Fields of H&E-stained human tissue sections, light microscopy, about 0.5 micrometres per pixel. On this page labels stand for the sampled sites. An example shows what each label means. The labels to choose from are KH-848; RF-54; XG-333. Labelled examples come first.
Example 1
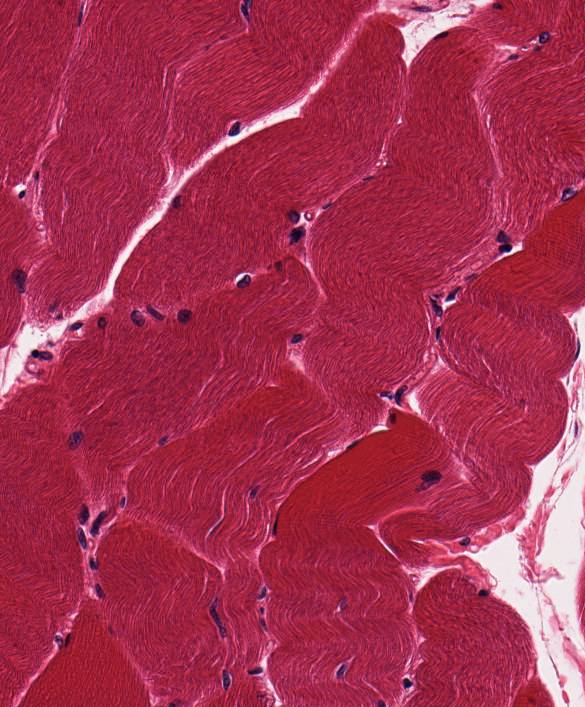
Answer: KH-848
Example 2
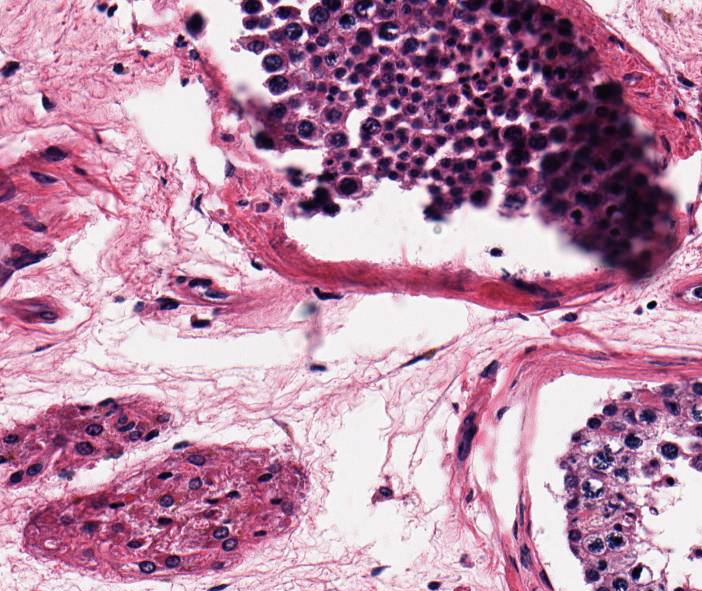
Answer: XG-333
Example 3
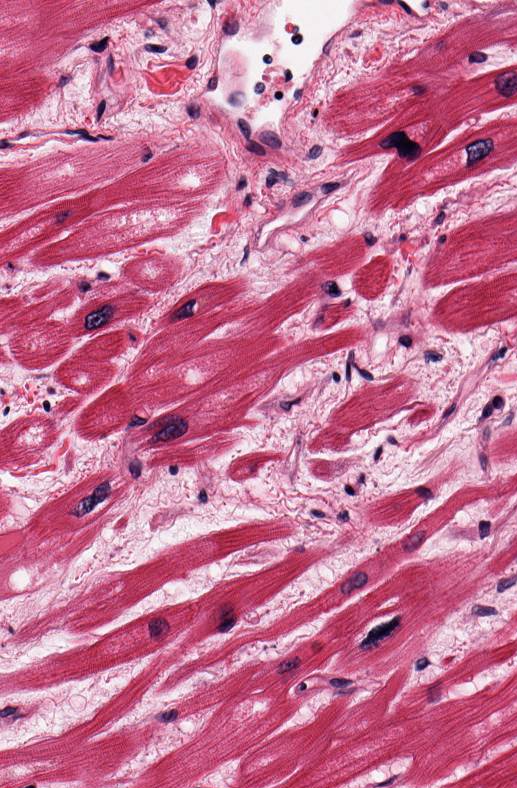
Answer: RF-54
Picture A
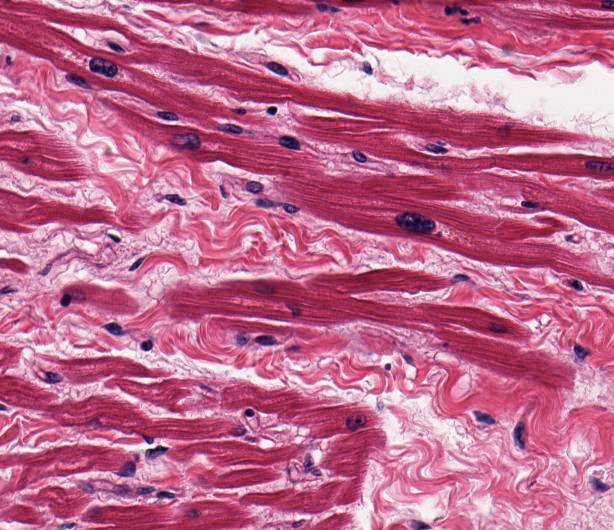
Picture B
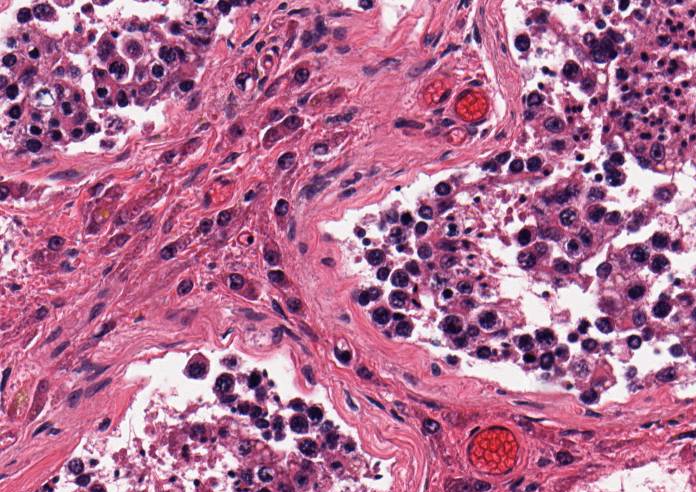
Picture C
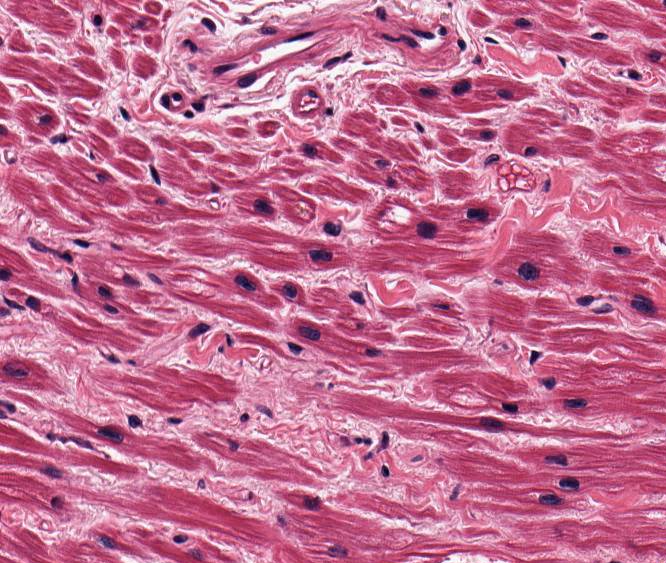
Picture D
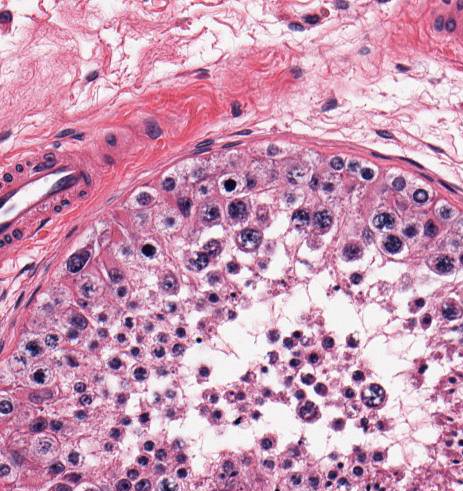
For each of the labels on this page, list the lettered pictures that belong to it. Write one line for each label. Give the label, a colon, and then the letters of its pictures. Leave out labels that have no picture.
RF-54: A, C
XG-333: B, D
